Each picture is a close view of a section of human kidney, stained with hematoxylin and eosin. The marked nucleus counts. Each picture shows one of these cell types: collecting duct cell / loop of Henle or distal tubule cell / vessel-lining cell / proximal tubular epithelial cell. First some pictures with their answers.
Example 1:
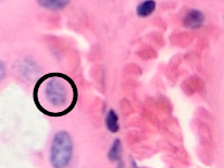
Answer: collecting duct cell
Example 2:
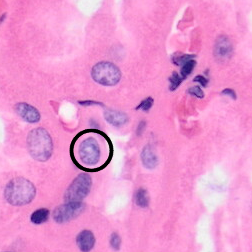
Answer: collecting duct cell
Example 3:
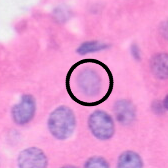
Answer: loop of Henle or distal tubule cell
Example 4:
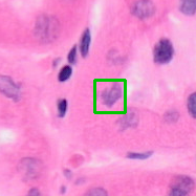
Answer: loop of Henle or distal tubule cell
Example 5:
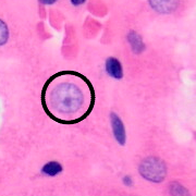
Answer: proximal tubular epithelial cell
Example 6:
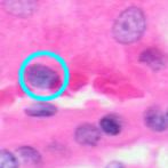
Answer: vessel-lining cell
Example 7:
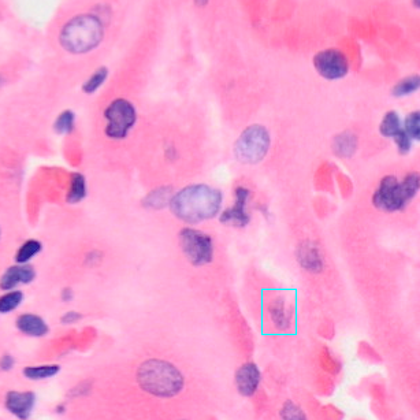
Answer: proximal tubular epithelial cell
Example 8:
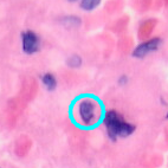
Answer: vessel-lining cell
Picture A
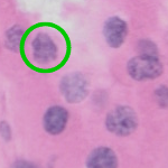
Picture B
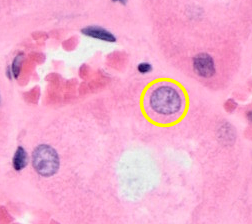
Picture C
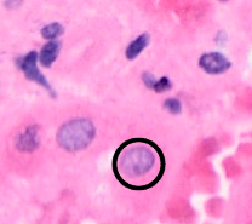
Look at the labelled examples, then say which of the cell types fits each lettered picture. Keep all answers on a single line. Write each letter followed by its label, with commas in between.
A loop of Henle or distal tubule cell, B proximal tubular epithelial cell, C proximal tubular epithelial cell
